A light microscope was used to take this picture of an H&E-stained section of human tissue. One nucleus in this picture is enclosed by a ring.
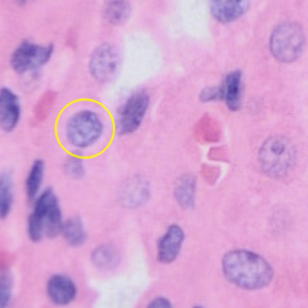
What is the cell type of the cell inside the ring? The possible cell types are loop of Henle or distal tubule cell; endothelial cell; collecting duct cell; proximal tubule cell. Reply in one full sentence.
In the tissue at hand, the cell inside the ring is a loop of Henle or distal tubule cell.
